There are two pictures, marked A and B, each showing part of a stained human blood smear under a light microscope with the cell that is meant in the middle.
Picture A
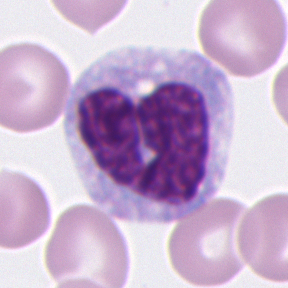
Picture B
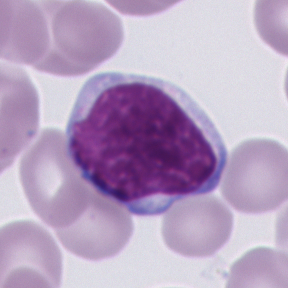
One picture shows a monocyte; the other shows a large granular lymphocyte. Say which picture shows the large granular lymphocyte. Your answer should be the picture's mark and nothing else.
B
